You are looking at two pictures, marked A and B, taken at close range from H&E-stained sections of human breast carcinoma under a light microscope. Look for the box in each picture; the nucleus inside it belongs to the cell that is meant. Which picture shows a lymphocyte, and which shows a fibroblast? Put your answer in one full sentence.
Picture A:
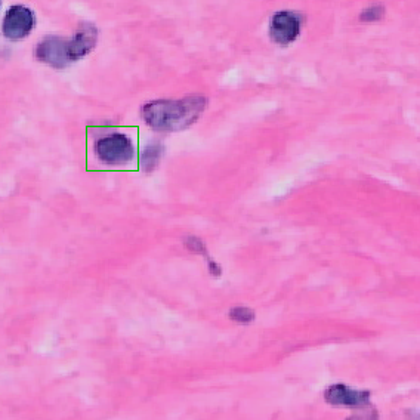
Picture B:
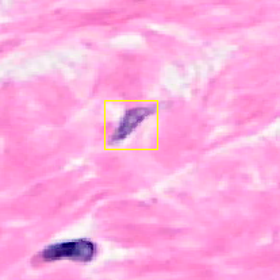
In picture A the cell is a lymphocyte; in picture B, a fibroblast.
